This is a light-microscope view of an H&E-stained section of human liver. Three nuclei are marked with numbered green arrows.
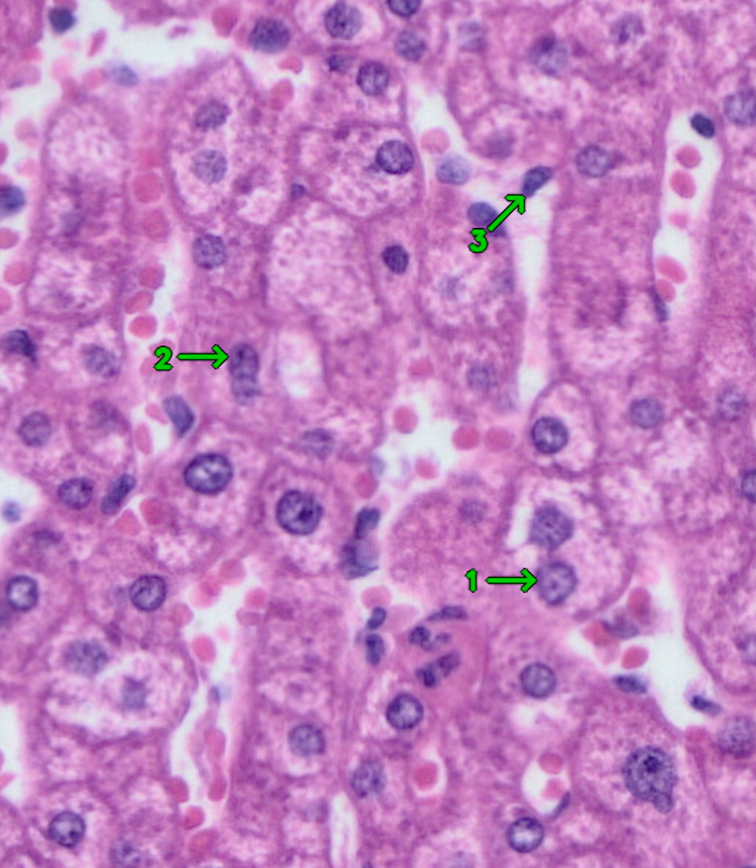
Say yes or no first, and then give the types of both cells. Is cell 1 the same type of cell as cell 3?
No, cell 1 is a hepatocyte and cell 3 is a lymphocyte.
